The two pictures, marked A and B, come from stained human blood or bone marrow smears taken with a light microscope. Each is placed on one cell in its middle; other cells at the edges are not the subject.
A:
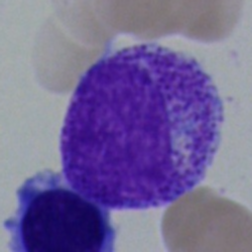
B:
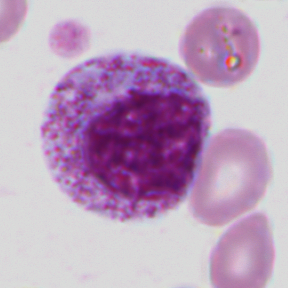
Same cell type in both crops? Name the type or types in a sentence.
Yes, in both crops the centred cells are myelocytes.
